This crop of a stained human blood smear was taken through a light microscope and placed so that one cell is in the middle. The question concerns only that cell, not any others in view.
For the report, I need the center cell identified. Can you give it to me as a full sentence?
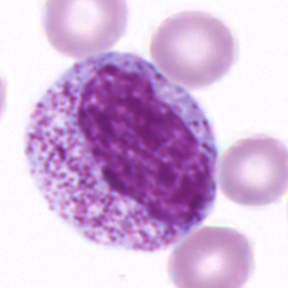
The cell at the middle of the crop is recognized as a myelocyte.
